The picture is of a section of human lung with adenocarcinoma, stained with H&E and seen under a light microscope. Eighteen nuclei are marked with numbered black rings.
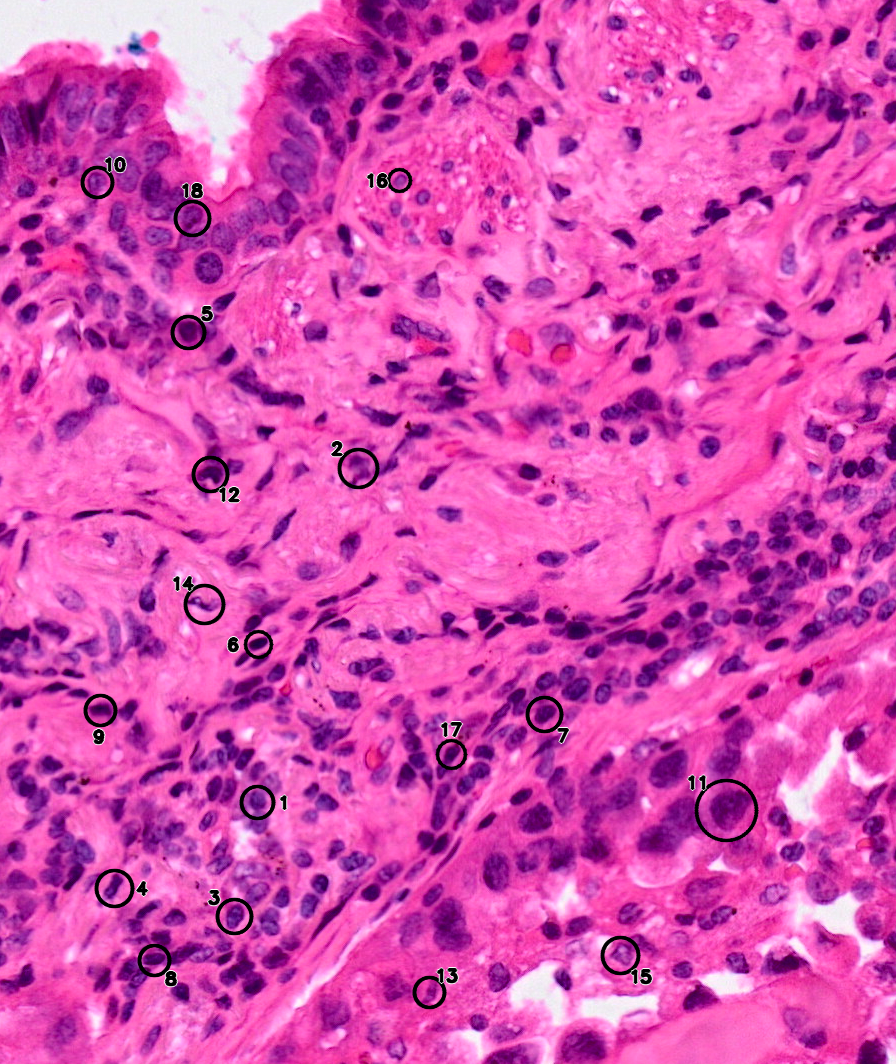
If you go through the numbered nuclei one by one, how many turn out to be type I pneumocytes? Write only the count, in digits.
0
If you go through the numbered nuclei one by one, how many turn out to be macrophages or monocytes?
2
